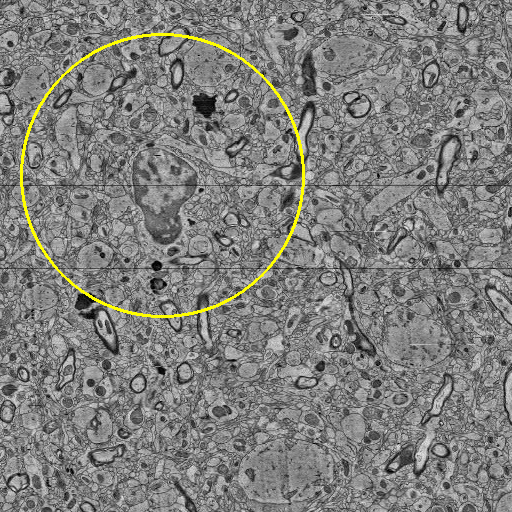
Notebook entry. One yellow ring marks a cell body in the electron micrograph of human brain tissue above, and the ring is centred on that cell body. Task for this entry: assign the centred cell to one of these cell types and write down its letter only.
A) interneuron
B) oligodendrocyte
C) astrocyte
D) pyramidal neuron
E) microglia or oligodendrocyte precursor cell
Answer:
E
